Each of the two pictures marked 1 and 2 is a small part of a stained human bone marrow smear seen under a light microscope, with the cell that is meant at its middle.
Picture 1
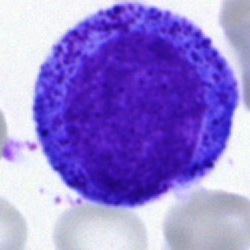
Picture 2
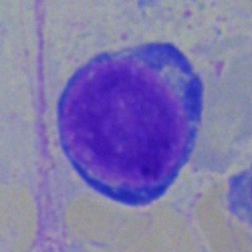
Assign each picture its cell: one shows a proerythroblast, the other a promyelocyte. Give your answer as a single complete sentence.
In picture 1 the cell is a promyelocyte; in picture 2, a proerythroblast.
